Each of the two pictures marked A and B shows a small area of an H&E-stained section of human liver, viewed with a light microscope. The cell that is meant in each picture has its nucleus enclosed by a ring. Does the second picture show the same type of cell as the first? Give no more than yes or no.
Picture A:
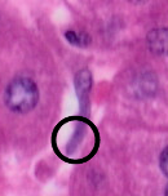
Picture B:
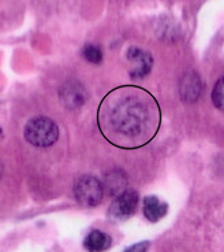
no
